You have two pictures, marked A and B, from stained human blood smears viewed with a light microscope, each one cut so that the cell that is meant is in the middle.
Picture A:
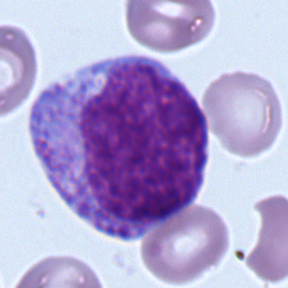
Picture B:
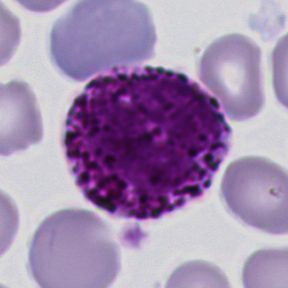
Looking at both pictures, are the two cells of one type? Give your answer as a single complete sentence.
No; the cell in picture A is a promyelocyte, while the one in picture B is a basophil.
